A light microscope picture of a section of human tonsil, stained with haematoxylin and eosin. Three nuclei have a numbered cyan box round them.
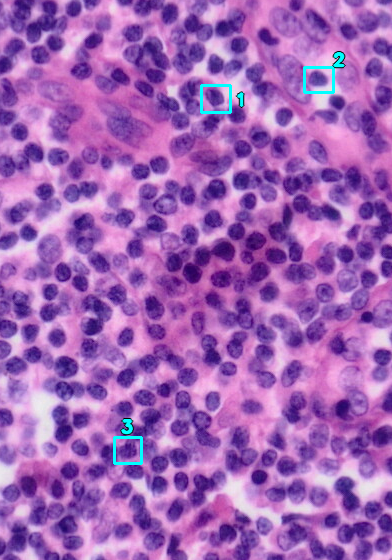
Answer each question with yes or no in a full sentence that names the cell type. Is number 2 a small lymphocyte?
No, cell 2 is an endothelial cell and should not be called a small lymphocyte.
